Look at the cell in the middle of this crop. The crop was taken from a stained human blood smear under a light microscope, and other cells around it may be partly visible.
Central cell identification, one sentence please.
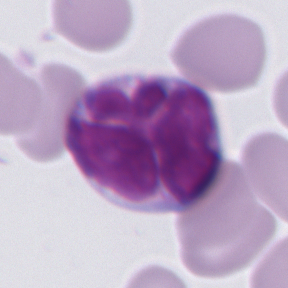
At the crop's centre, the cell is a large granular lymphocyte.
